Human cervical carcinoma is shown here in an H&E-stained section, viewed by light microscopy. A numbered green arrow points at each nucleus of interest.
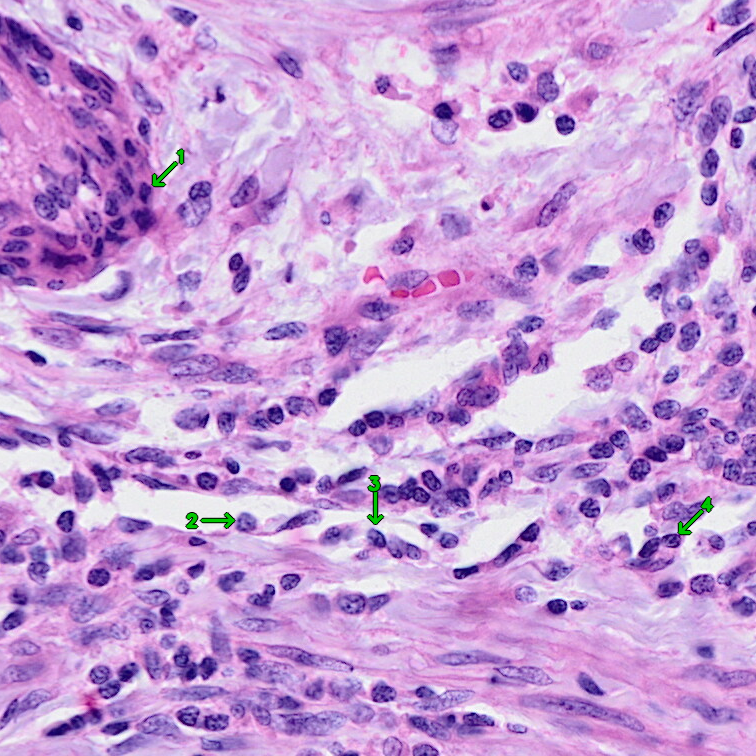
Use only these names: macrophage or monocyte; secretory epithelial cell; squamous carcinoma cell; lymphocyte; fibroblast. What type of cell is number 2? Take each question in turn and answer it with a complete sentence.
That cell with number 2 is a lymphocyte.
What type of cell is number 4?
The nucleus with number 4 is that of a lymphocyte.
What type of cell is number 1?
The expected answer is that cell 1 is a squamous carcinoma cell.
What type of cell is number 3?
It is as a lymphocyte that the cell numbered 3 is identified.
